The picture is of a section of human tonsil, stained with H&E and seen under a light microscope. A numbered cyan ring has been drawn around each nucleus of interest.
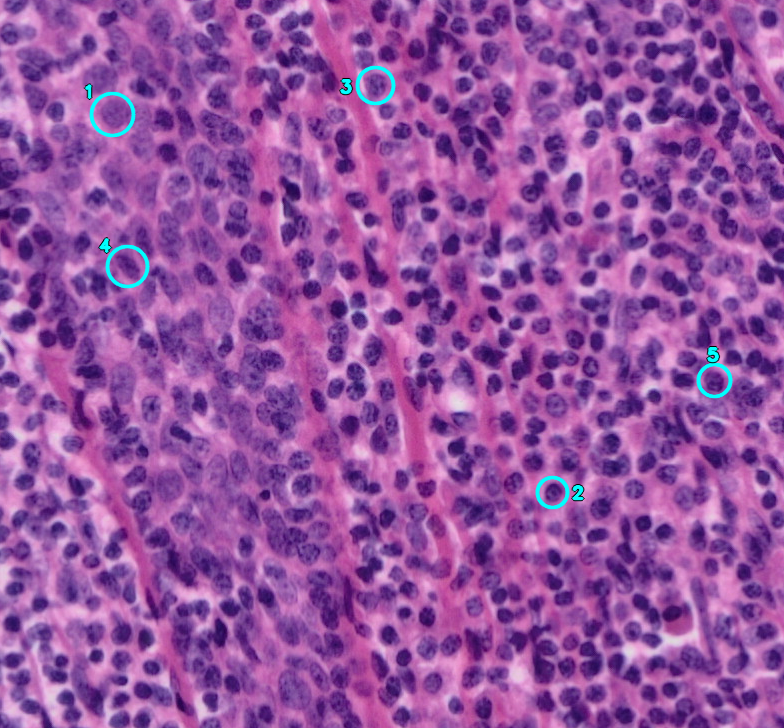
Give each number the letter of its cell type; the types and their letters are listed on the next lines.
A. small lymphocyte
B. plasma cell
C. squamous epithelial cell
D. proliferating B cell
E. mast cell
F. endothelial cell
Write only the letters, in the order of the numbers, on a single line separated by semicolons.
C; B; B; C; B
